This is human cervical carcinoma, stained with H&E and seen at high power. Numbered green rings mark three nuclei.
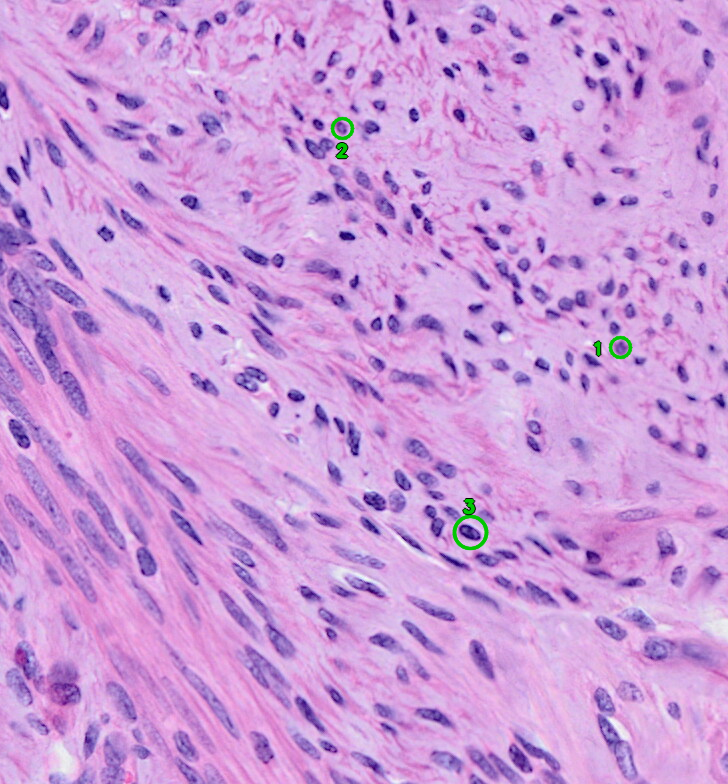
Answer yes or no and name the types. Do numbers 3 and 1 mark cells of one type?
No, here cell 3 is a lymphocyte, whereas cell 1 is a smooth muscle cell.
